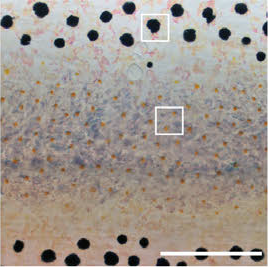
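This is a view of fish skin across a light interstripe, with the pigment cells pulled together so each stands out singly. Along the top and bottom edges, melanophores appear as compact round black dots, their dark pigment drawn into the cell centre and spaced apart in rows. The broad middle band is pale greyish with many tiny orange dots scattered through it; these are xanthophores, whose orange pigment has likewise been gathered into a small spot. Without the shine of the reflecting cells, the middle band looks dull rather than golden.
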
